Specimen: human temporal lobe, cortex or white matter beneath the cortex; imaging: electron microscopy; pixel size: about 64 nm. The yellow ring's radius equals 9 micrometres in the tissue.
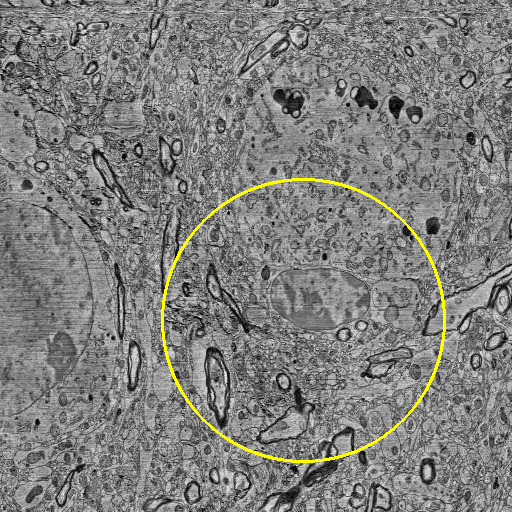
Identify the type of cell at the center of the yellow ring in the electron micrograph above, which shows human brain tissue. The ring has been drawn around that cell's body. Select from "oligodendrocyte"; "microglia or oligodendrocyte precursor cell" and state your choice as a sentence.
The yellow ring is centered on the body of a microglial cell or oligodendrocyte precursor cell.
